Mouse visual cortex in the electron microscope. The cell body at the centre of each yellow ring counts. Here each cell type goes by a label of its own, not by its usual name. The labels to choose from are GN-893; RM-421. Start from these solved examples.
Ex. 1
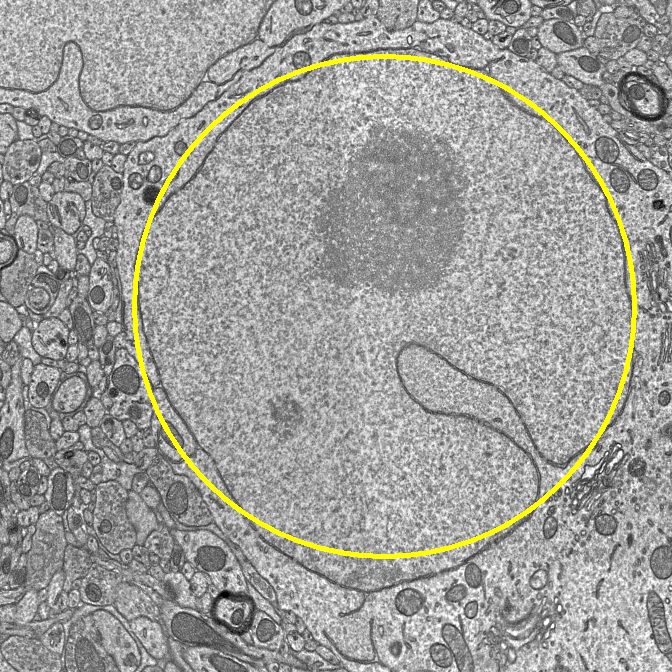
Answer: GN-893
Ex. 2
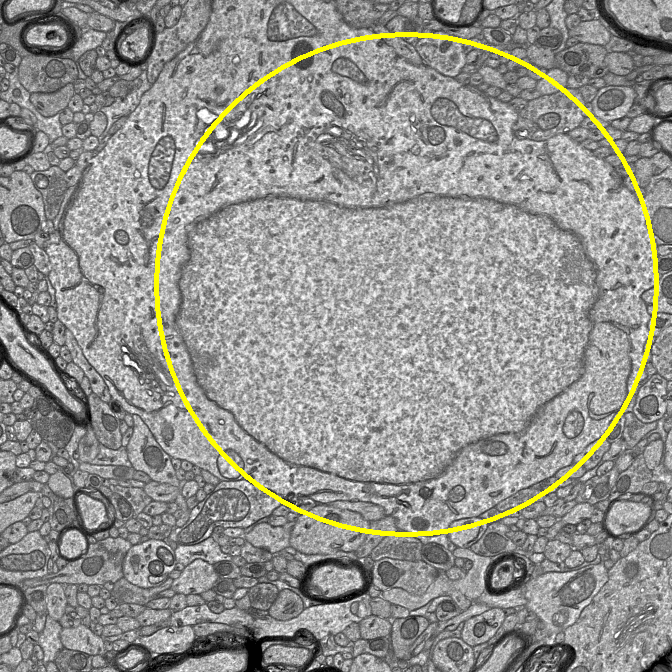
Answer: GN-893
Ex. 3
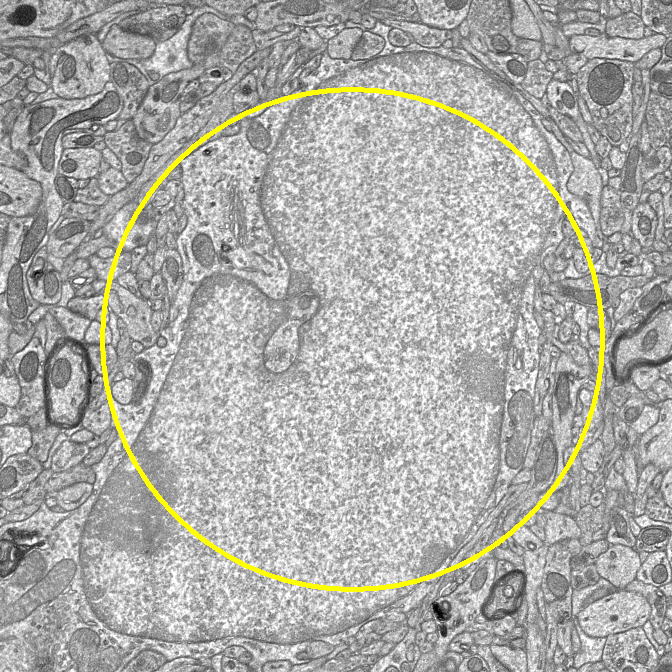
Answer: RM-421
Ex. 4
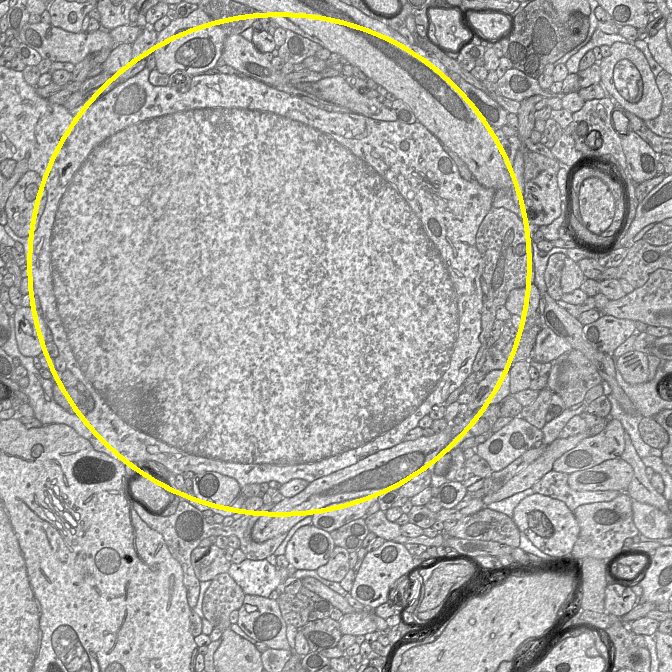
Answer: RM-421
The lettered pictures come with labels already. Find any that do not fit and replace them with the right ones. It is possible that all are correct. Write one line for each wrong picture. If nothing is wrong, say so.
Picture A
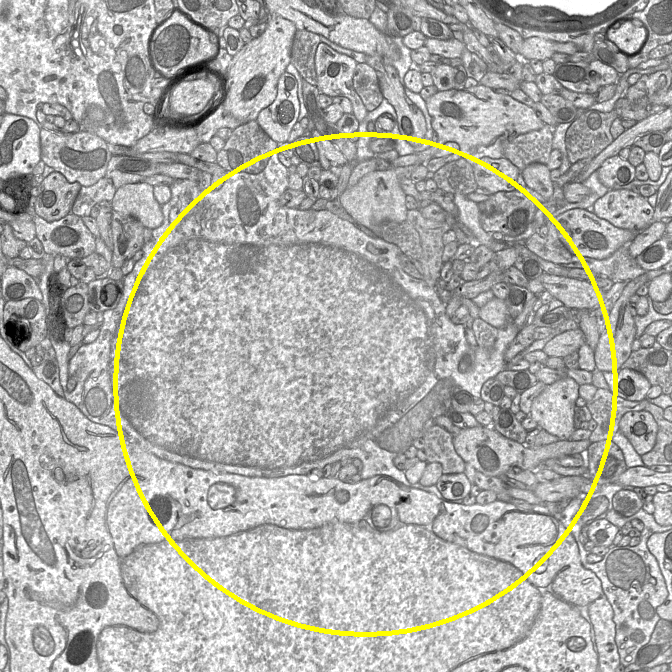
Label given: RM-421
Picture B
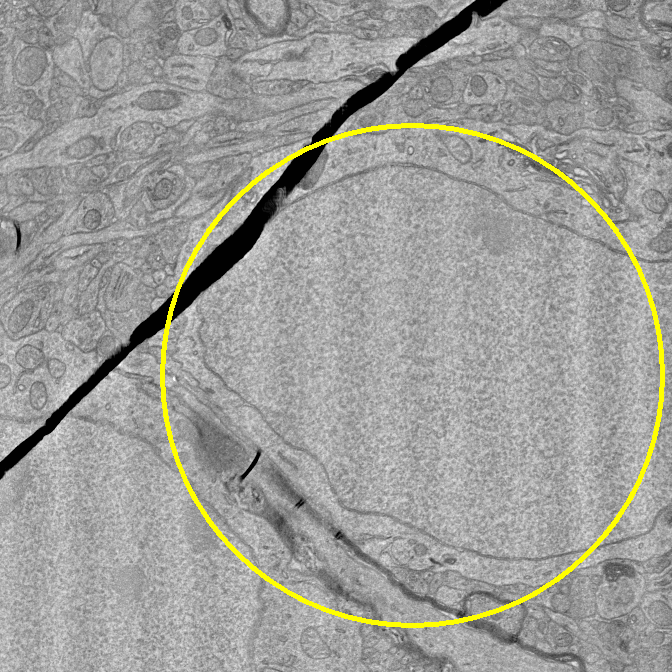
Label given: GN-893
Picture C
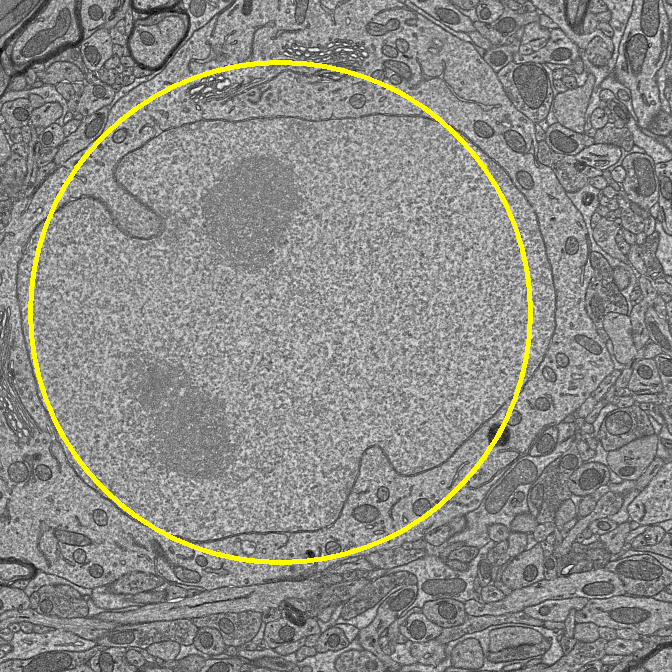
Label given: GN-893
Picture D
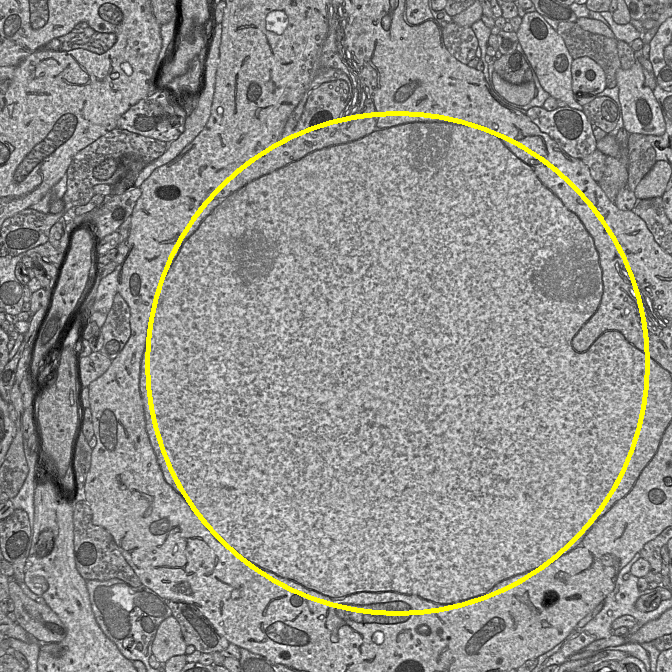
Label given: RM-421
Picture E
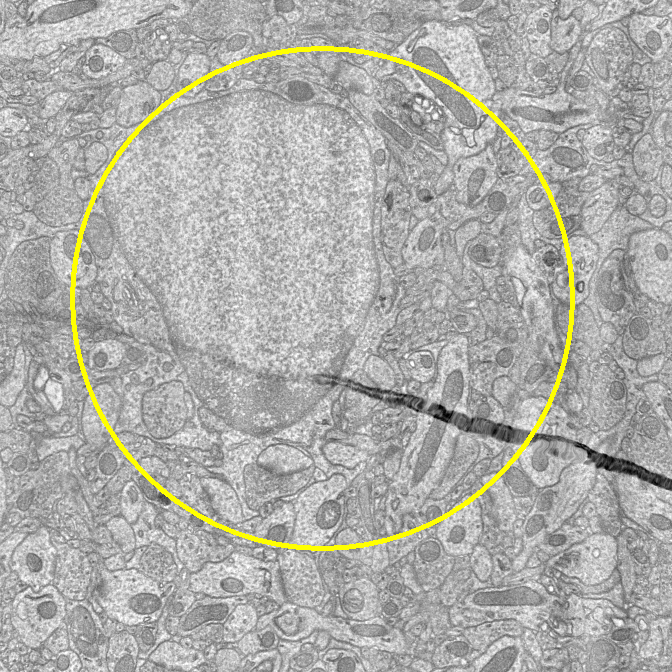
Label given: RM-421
D should be GN-893, not RM-421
